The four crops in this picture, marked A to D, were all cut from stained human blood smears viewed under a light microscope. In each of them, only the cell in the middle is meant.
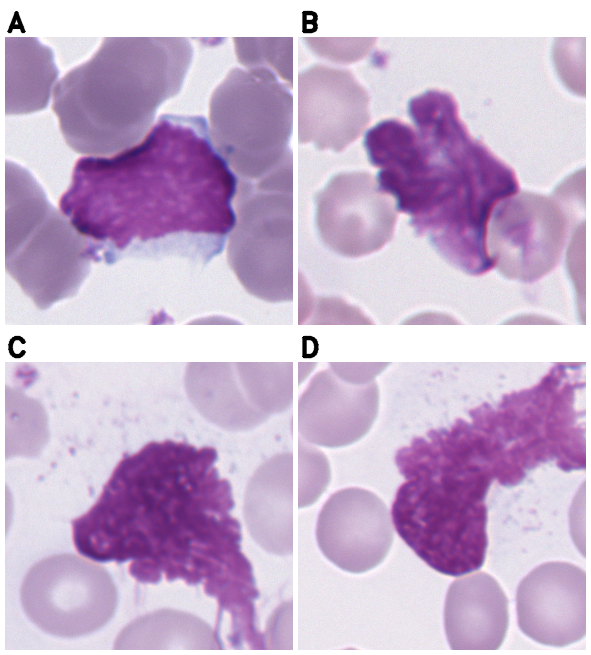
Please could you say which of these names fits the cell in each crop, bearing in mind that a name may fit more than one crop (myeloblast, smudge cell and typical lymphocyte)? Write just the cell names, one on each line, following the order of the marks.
typical lymphocyte
smudge cell
smudge cell
smudge cell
